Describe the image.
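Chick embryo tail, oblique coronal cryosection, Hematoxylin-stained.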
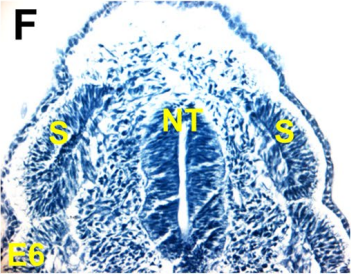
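The neural tube is a thick wall of densely packed, elongated cells arranged radially around a narrow slit-like central lumen. The somites are compact blocks of closely packed elongated cells. Between these structures lies looser mesenchyme with scattered spindle-shaped cells. A thin surface epithelium covers the whole section.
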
